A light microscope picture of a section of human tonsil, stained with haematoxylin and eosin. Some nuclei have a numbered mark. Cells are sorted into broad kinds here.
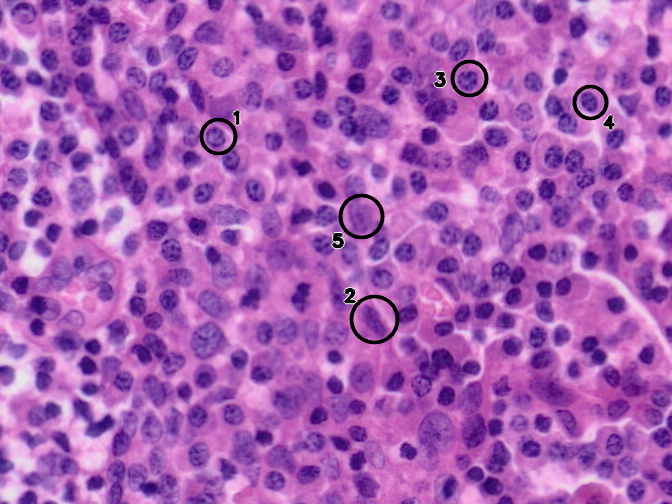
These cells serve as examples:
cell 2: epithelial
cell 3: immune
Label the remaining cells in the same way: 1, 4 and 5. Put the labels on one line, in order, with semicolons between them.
immune; immune; epithelial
